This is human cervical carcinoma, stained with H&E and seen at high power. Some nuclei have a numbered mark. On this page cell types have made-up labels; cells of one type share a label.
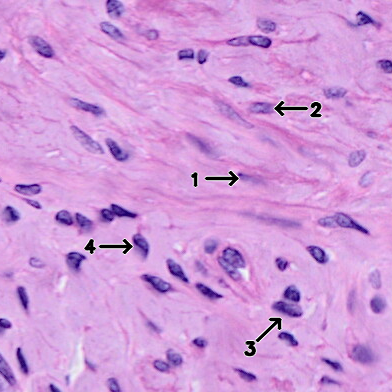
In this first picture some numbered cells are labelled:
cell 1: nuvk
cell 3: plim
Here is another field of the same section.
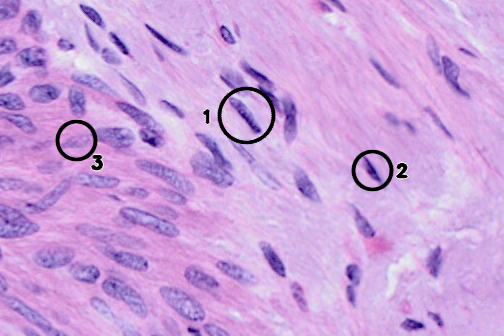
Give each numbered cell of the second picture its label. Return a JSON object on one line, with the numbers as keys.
{"1": "plim", "2": "plim", "3": "nuvk"}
